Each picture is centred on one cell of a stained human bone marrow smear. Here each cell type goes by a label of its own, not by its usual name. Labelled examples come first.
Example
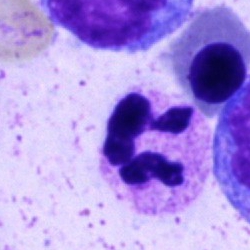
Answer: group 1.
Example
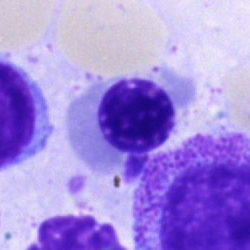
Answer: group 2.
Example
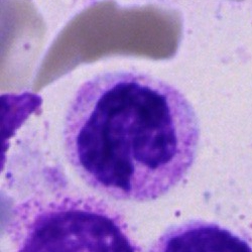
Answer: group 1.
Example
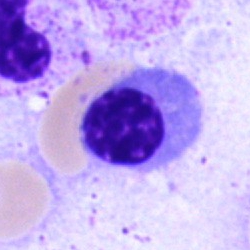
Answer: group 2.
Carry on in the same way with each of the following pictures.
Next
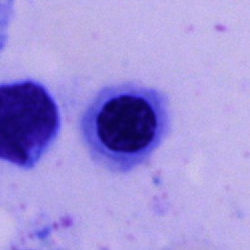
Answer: group 2.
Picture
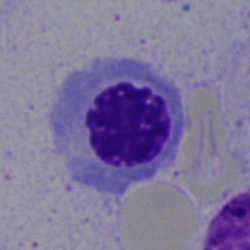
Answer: group 2.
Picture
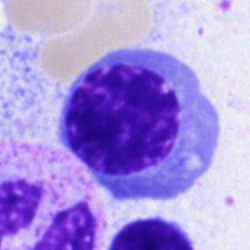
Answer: group 2.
